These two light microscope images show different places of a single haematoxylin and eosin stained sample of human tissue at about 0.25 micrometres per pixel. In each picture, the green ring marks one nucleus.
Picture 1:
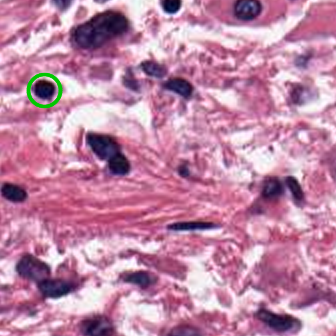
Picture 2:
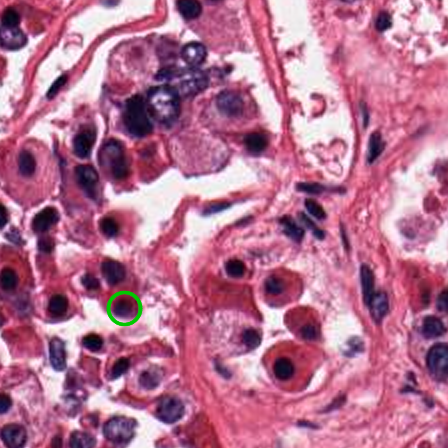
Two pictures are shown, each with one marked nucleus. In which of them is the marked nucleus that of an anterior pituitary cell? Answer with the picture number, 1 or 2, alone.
2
